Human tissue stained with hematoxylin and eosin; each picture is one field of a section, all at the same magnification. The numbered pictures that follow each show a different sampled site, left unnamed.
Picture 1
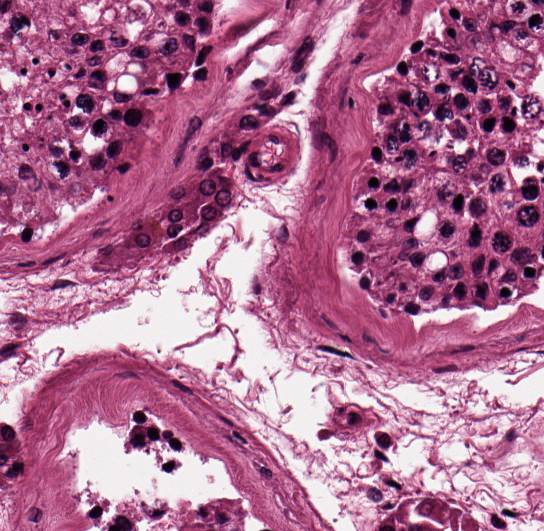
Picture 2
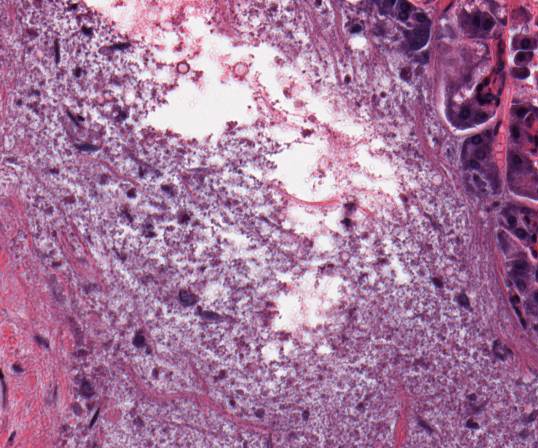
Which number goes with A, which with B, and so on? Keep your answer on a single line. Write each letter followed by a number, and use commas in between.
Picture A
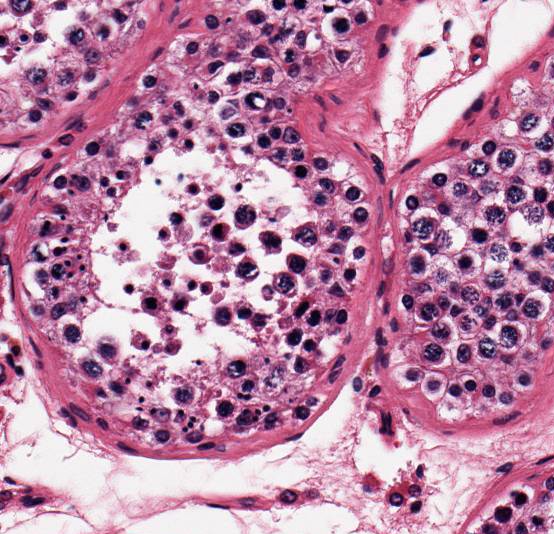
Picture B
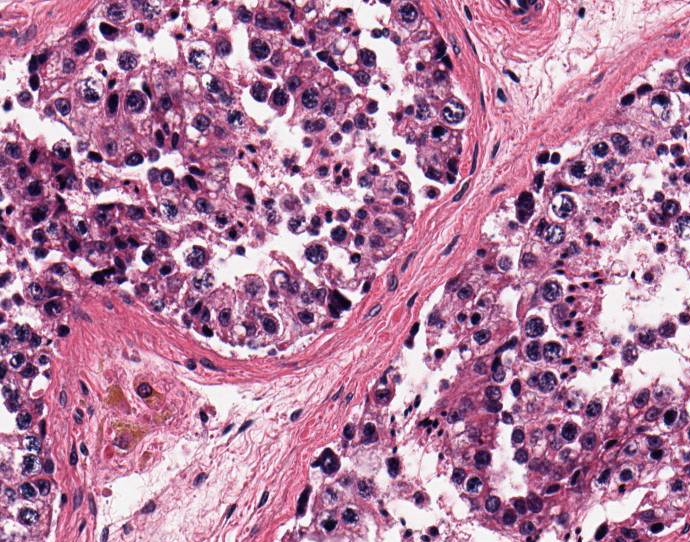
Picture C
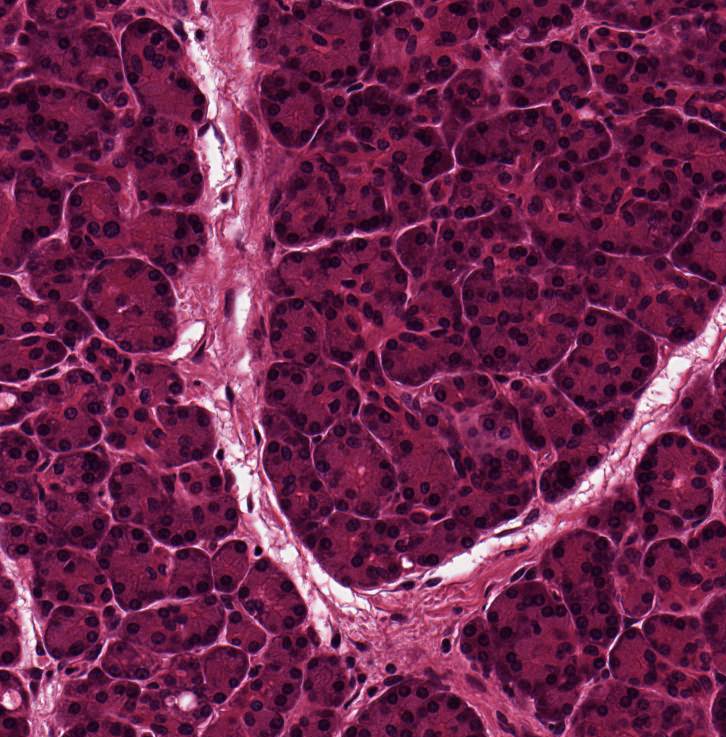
A 1, B 1, C 2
